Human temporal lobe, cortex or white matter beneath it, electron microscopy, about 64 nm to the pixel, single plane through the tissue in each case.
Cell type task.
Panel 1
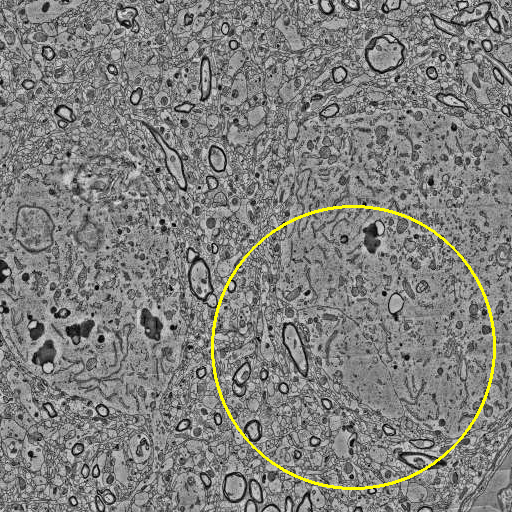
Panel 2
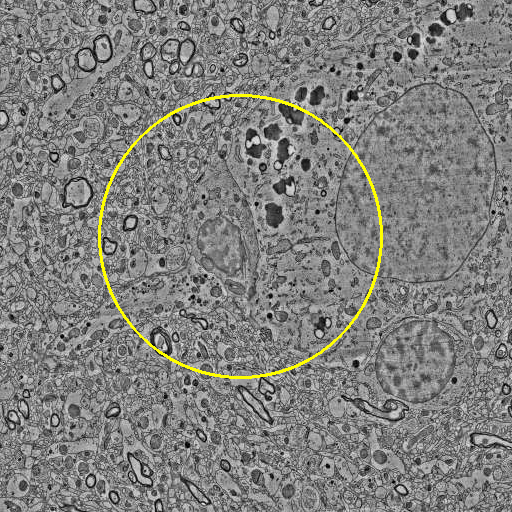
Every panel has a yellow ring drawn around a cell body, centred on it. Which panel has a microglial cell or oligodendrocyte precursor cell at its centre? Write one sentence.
It sits at the centre of the ring in Panel 1.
